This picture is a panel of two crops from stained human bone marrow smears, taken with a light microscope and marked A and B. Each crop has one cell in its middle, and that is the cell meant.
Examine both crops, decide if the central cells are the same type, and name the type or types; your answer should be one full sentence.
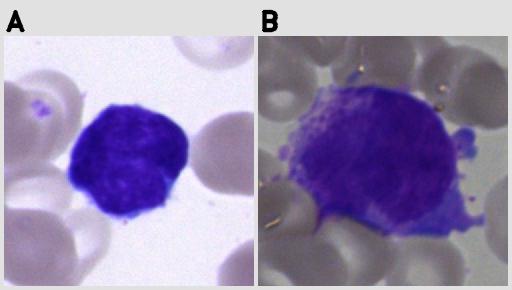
No, crop B shows a blast, and crop A shows a lymphocyte.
